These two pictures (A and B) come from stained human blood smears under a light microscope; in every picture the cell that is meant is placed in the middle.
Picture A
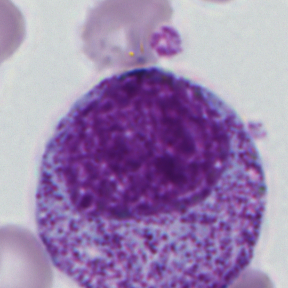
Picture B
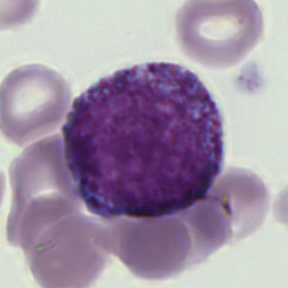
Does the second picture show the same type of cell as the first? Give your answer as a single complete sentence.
Yes, the two pictures both show promyelocytes.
